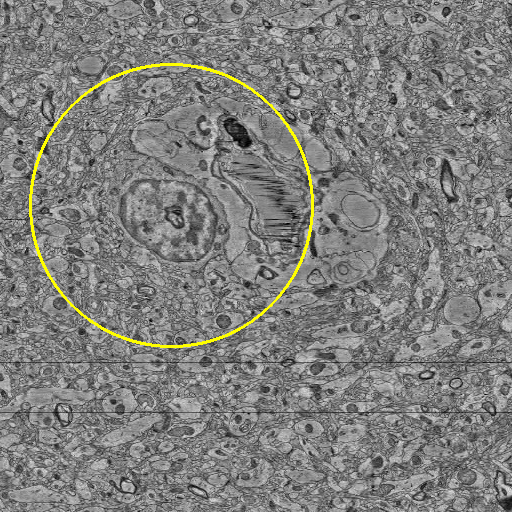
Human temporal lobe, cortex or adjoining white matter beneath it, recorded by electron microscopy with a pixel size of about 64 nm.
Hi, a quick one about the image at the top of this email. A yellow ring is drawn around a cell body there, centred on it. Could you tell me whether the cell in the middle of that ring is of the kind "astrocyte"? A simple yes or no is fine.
no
